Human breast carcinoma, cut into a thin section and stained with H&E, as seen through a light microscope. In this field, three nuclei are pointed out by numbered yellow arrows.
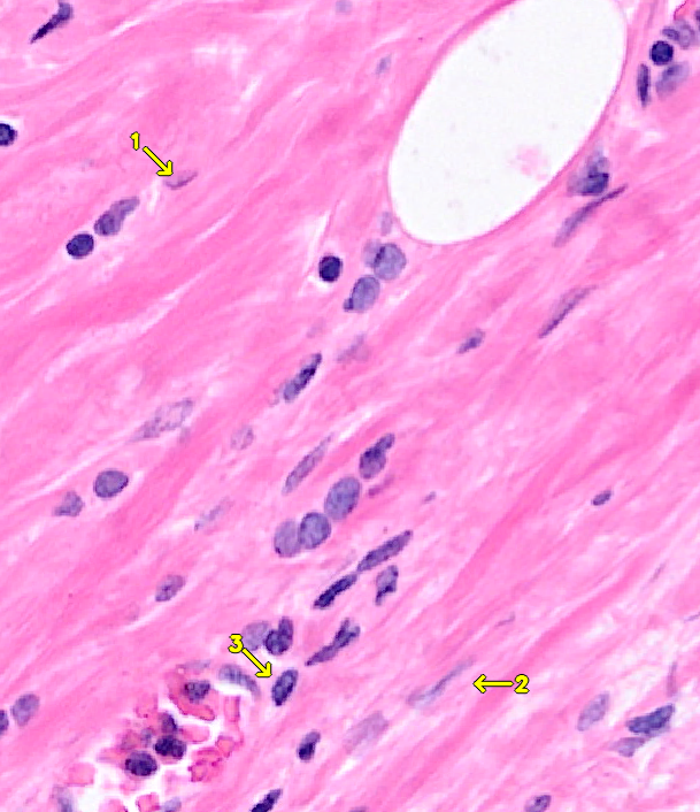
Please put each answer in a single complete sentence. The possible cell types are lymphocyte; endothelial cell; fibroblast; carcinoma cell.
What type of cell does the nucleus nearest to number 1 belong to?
Number 1 lies closest to the nucleus of a lymphocyte.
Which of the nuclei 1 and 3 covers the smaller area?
Number 1 is smaller, since number 3 takes up about 2 times as much area.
